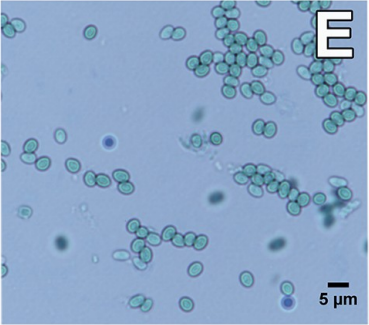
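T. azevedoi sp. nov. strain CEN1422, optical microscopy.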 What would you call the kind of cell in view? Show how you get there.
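Conidia. Small round to slightly oval smooth-walled cells. Cells lie singly and in short chains and clusters. Cells are about the size of the 5 µm bar.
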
